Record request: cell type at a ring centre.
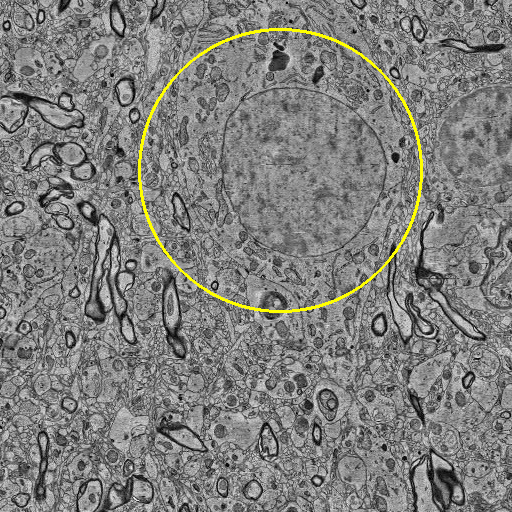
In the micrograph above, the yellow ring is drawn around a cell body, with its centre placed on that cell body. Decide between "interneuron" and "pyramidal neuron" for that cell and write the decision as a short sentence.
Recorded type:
The cell centred in the yellow ring is an interneuron.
